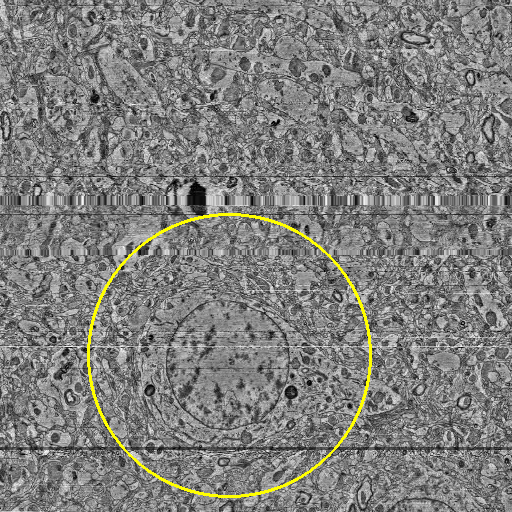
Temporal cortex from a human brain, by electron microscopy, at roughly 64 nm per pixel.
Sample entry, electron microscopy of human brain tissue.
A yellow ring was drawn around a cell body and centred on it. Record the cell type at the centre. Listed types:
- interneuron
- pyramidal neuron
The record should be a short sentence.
The cell at the ring's centre is a pyramidal neuron.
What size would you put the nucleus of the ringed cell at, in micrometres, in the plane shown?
Roughly 8 micrometres across, measured in this plane.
